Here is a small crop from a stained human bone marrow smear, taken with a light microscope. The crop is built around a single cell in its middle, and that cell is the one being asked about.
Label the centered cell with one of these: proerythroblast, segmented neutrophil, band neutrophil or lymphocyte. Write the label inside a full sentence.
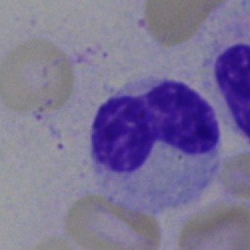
The centrally located cell in the crop is a band neutrophil.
